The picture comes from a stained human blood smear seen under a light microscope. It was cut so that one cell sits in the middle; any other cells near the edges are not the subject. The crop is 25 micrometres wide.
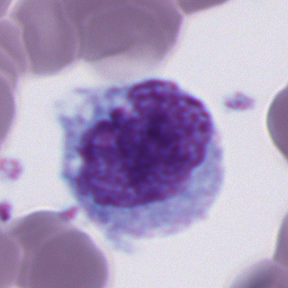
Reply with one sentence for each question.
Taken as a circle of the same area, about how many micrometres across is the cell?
The diameter of the cell comes to about 14 micrometres.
